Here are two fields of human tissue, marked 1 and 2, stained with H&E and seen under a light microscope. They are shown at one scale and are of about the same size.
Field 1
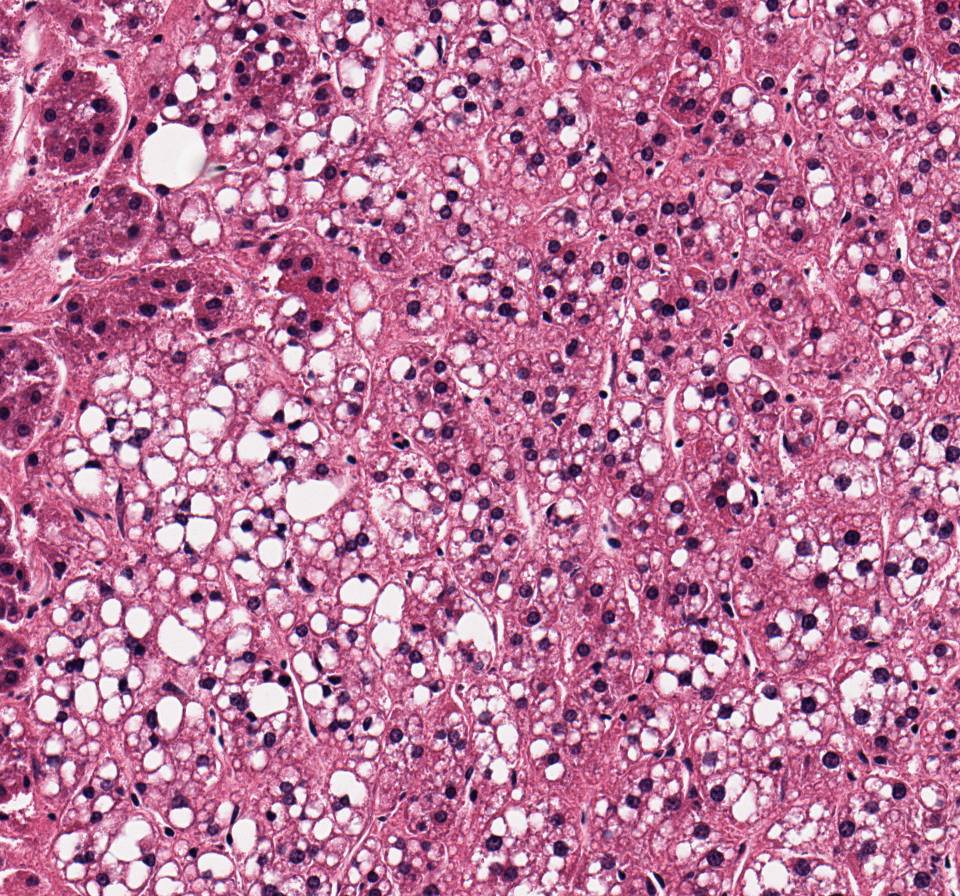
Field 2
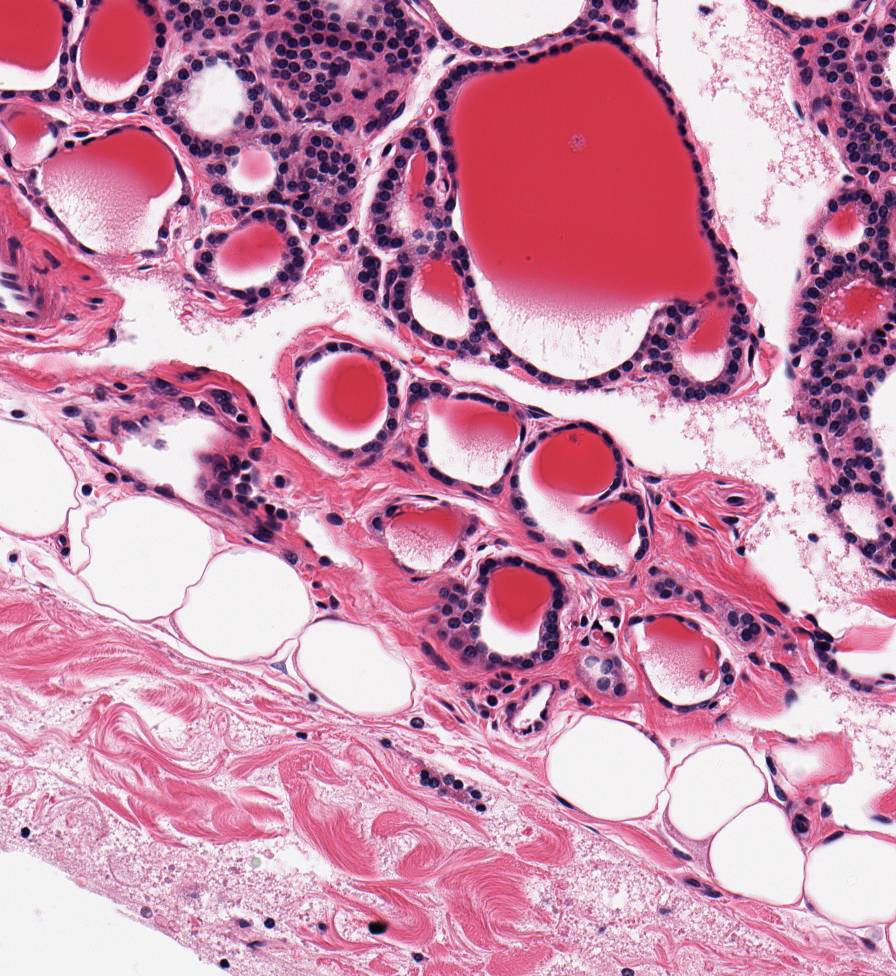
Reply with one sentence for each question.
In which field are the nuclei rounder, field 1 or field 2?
It is field 1 whose nuclei are the rounder.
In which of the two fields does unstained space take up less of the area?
It is field 1 that stained tissue fills more completely.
